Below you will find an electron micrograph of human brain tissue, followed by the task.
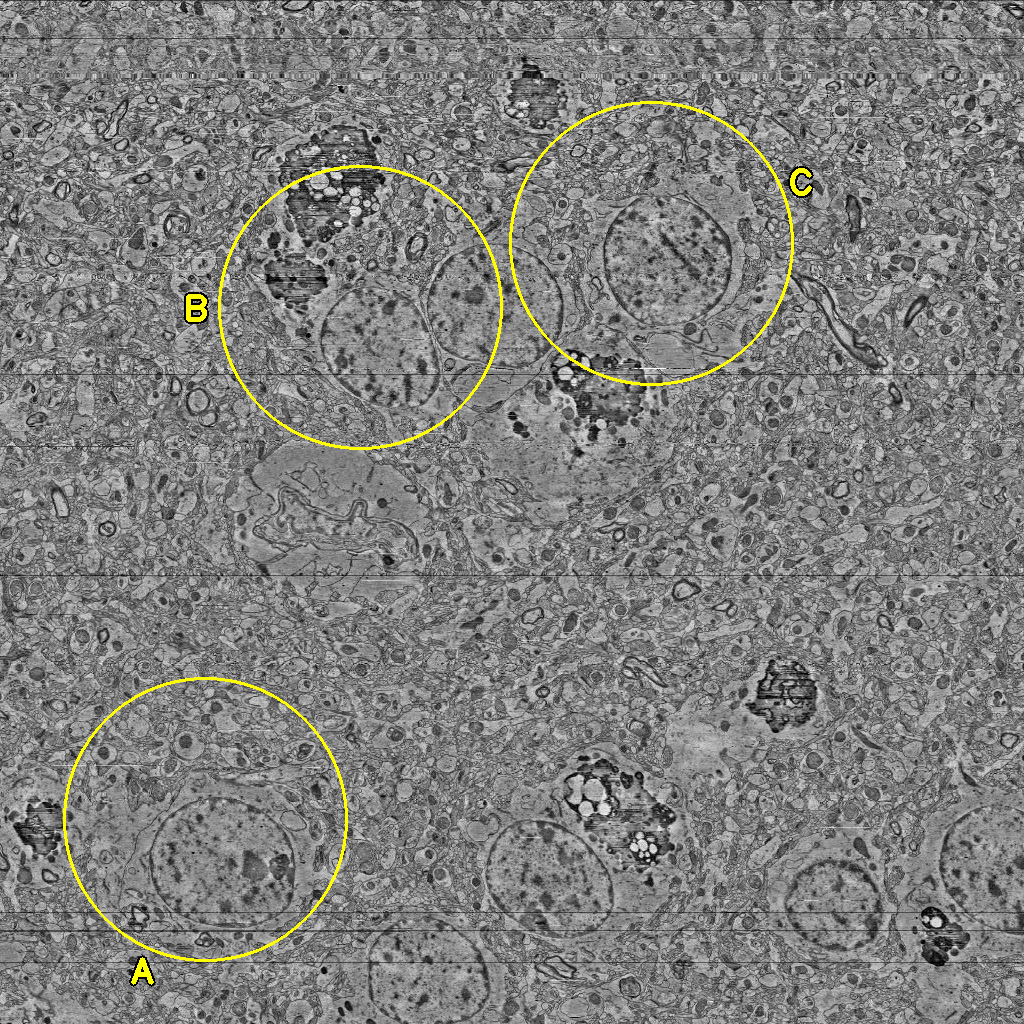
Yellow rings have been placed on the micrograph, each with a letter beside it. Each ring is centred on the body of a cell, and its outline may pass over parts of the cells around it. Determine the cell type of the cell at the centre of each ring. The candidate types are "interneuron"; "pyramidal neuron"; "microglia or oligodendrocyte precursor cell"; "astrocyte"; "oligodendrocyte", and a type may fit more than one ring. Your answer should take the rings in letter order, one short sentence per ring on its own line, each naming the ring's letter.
The centre of ring A falls on an astrocyte.
The centre of ring B falls on an astrocyte.
The centre of ring C falls on an astrocyte.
